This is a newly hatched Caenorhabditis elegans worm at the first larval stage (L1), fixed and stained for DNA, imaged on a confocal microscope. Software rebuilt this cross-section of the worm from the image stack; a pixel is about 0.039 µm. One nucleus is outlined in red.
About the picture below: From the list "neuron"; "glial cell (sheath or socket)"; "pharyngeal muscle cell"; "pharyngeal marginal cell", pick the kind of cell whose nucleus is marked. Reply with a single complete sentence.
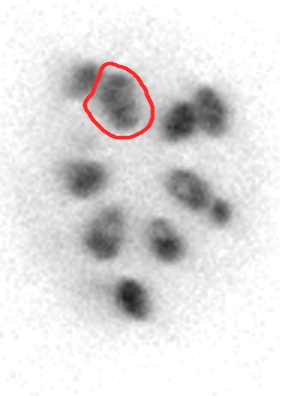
The marked nucleus belongs to a pharyngeal muscle cell.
